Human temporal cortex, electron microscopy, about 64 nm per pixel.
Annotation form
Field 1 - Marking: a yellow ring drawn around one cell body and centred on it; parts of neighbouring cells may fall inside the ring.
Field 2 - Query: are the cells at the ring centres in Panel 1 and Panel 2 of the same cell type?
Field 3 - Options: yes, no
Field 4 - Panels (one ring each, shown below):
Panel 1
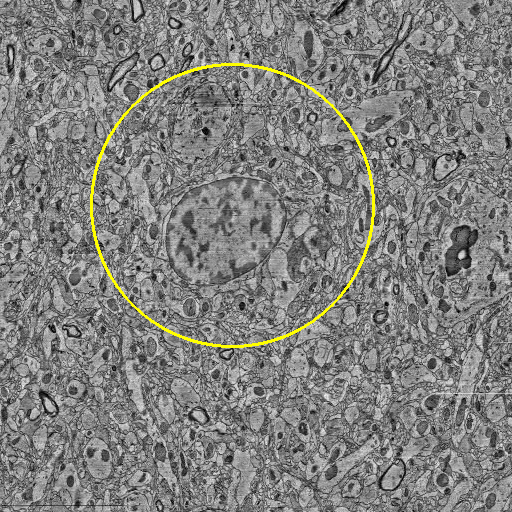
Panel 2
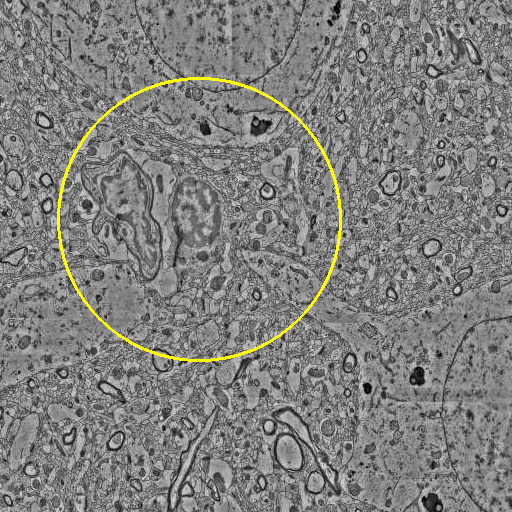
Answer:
no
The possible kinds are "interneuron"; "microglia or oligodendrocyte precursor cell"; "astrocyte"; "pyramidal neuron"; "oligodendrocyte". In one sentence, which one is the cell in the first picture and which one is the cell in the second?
The cell ringed in the second picture is an oligodendrocyte, whereas the one ringed in the first is a microglial cell or oligodendrocyte precursor cell.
